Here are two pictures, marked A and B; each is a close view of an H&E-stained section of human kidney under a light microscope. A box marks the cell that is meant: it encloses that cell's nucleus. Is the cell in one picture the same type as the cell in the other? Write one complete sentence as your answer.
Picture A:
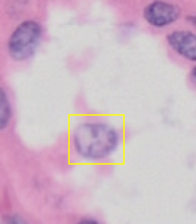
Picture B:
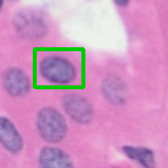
Yes, both cells are “loop of Henle or distal tubule cells”.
